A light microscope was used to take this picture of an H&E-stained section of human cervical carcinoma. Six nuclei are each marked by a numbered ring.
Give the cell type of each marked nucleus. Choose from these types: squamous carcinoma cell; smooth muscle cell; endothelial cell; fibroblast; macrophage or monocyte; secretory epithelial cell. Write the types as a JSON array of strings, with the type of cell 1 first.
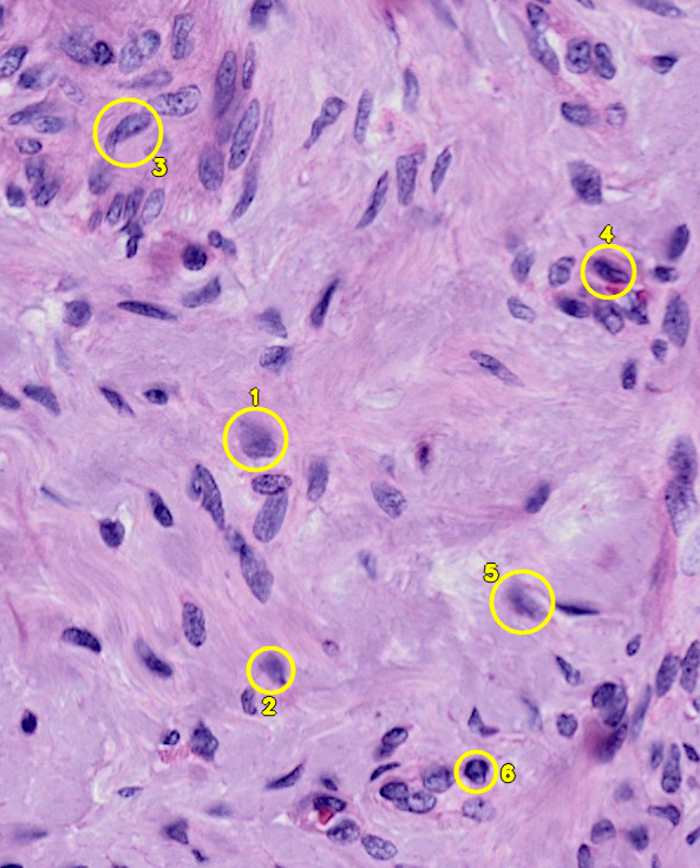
["fibroblast", "fibroblast", "smooth muscle cell", "endothelial cell", "fibroblast", "endothelial cell"]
